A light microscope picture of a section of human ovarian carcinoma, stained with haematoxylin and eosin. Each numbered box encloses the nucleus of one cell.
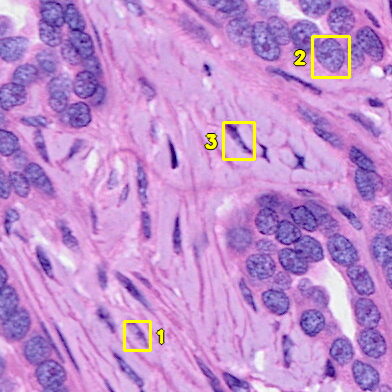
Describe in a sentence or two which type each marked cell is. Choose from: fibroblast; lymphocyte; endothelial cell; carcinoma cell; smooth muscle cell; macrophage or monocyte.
Cells 1 and 3 are fibroblasts. Cell 2 is a carcinoma cell.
